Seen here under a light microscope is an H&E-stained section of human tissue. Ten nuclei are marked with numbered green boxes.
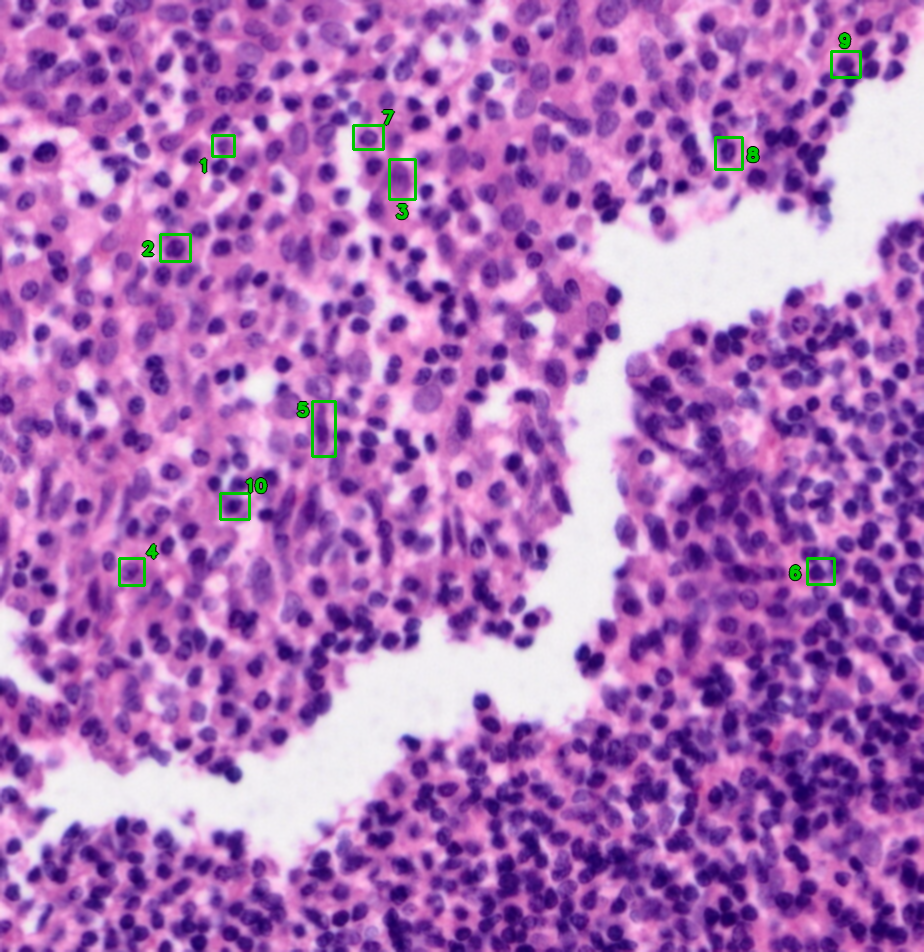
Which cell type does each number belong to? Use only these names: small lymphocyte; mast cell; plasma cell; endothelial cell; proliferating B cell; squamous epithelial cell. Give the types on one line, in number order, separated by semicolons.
plasma cell; plasma cell; squamous epithelial cell; plasma cell; squamous epithelial cell; small lymphocyte; plasma cell; plasma cell; small lymphocyte; plasma cell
